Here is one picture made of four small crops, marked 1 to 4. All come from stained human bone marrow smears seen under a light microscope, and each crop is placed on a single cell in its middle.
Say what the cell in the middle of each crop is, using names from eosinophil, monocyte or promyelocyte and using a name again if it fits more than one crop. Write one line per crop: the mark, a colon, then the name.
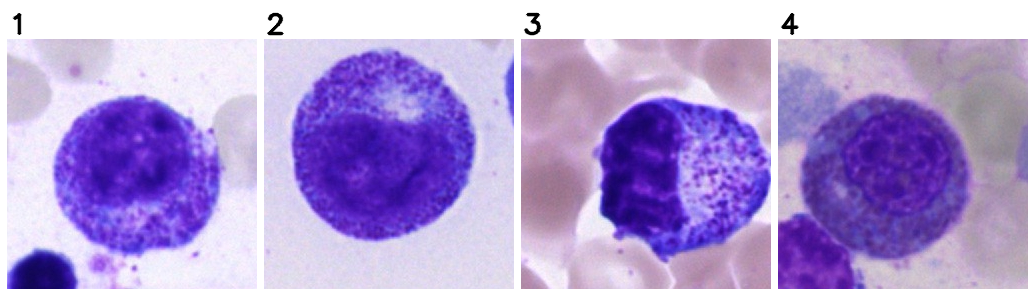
1: promyelocyte
2: promyelocyte
3: promyelocyte
4: eosinophil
